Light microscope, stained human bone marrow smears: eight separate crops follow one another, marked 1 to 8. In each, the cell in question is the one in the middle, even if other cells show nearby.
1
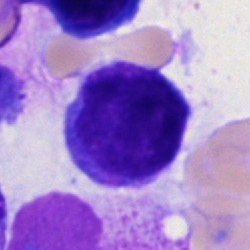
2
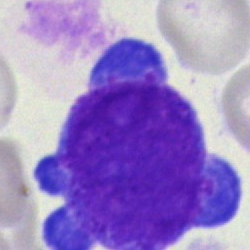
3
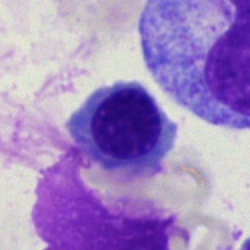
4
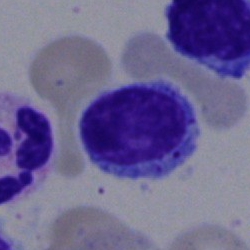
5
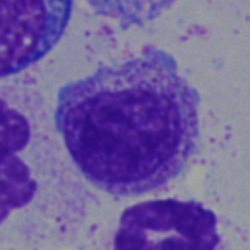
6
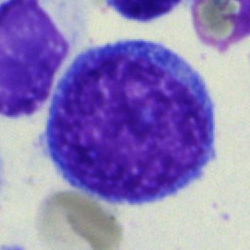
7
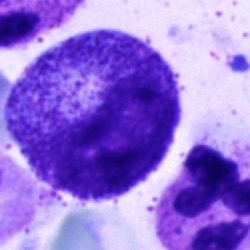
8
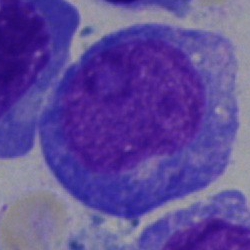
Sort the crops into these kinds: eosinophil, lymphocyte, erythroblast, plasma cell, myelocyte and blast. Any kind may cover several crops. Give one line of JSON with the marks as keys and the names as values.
{"1": "blast", "2": "blast", "3": "erythroblast", "4": "lymphocyte", "5": "myelocyte", "6": "blast", "7": "myelocyte", "8": "blast"}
